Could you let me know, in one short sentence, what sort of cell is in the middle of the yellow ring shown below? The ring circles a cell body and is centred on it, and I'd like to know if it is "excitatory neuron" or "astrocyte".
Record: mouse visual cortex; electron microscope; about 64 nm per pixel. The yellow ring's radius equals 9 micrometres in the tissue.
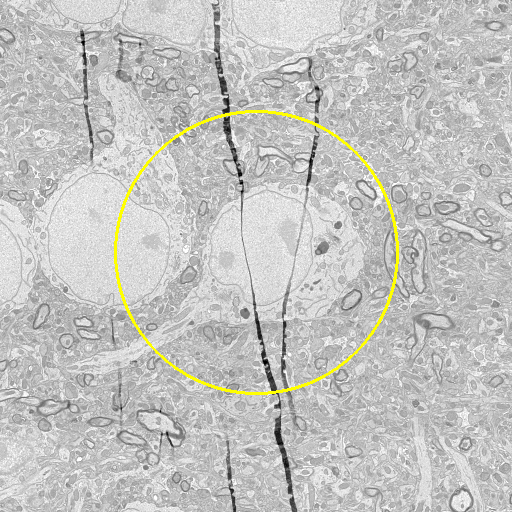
The ring circles the cell body of an excitatory neuron.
